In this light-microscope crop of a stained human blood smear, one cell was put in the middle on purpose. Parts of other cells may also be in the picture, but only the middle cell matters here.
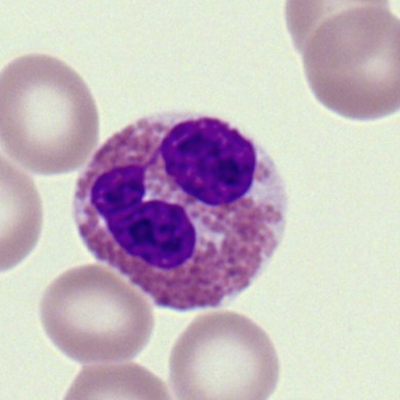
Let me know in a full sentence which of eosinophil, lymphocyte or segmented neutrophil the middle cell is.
Answering briefly, the cell in the middle is an eosinophil.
